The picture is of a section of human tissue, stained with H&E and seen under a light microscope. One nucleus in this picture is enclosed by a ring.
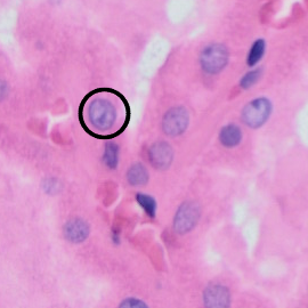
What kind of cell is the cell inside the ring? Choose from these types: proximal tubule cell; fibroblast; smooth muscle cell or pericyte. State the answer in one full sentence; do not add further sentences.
Right, so the cell inside the ring is a proximal tubule cell, to answer that.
